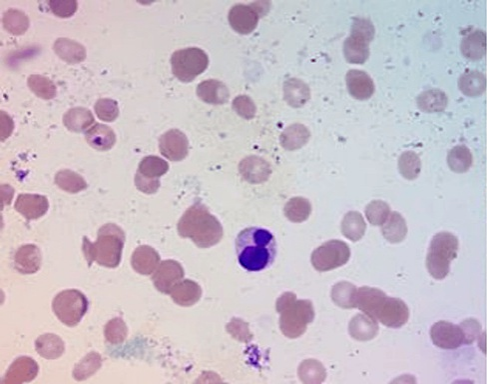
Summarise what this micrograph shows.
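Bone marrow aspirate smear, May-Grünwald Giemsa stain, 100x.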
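Most of the field is taken up by pale pink, round, anucleate red cells, with a few small purple fragments scattered between them. Near the centre lies a single nucleated cell whose two round, dense, dark purple nuclei sit side by side within a thin rim of bluish-grey cytoplasm. The dense nuclei and bluish cytoplasm fit a late red cell precursor, and having two nuclei makes it a binucleated erythroblast.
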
